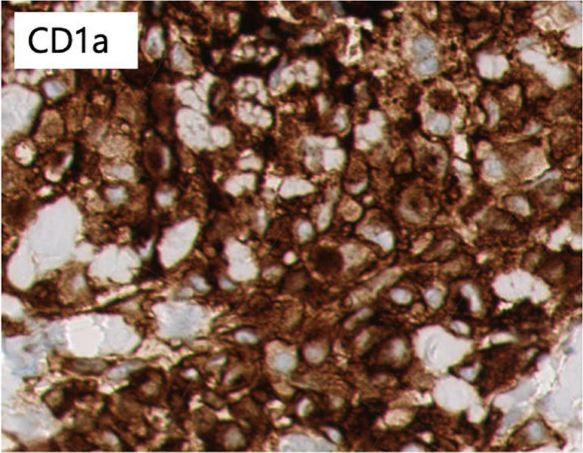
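Densely packed lesional cells almost all staining strong brown. The brown stain outlines the cell membranes and fills the cytoplasm, giving a mesh-like pattern, while the oval nuclei stay pale blue-grey and unstained. Cells are large, rounded to polygonal, lying closely against one another. Scattered clear empty spaces lie between cells, and at the lower edge faint pale fibrous stroma is seen without stain.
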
